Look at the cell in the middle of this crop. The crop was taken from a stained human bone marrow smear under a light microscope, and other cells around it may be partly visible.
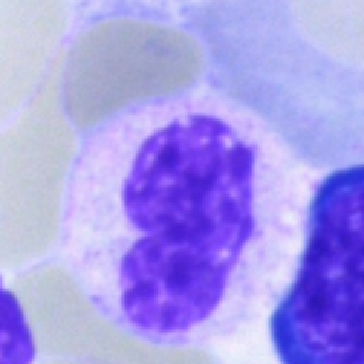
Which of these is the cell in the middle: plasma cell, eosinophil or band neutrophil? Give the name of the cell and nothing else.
band neutrophil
